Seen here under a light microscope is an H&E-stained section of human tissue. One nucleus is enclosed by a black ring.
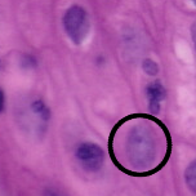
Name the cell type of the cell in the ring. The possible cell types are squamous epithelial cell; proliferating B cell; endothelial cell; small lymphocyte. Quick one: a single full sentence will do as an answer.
Placed in its cell category, the cell in the ring is a squamous epithelial cell.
